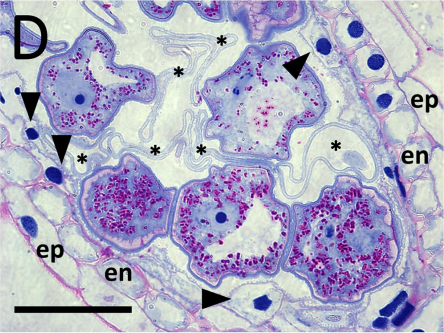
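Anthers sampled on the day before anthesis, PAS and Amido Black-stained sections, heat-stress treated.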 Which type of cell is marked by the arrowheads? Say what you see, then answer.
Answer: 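Dark blue-staining cells with dense nuclei lie along the inner side of the anther wall. They sit between the wall layers and the microspores.
Conclusion: tapetal cell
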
